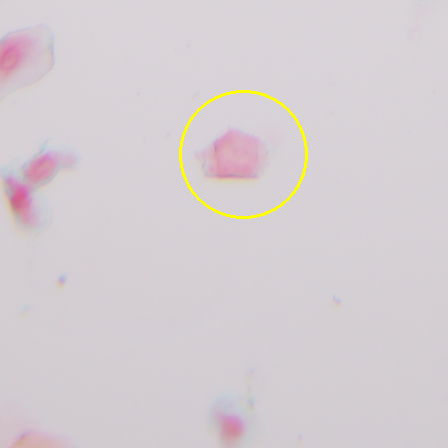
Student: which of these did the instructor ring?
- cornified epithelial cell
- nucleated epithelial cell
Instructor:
The cell I ringed is a cornified epithelial cell.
